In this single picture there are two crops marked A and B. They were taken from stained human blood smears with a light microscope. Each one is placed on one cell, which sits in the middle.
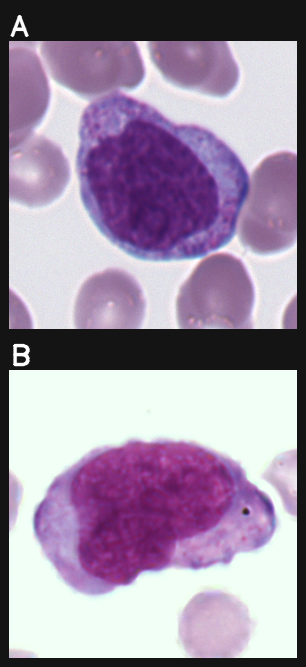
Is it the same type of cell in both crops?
yes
